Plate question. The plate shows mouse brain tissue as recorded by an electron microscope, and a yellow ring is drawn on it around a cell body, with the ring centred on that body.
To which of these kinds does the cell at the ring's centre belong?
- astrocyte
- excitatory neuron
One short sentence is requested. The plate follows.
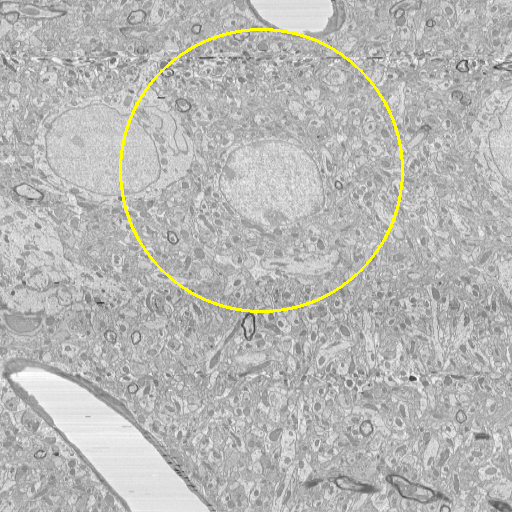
The cell at the ring's centre is an astrocyte.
